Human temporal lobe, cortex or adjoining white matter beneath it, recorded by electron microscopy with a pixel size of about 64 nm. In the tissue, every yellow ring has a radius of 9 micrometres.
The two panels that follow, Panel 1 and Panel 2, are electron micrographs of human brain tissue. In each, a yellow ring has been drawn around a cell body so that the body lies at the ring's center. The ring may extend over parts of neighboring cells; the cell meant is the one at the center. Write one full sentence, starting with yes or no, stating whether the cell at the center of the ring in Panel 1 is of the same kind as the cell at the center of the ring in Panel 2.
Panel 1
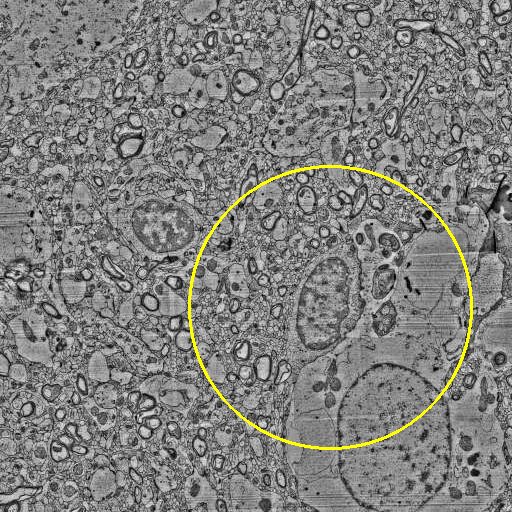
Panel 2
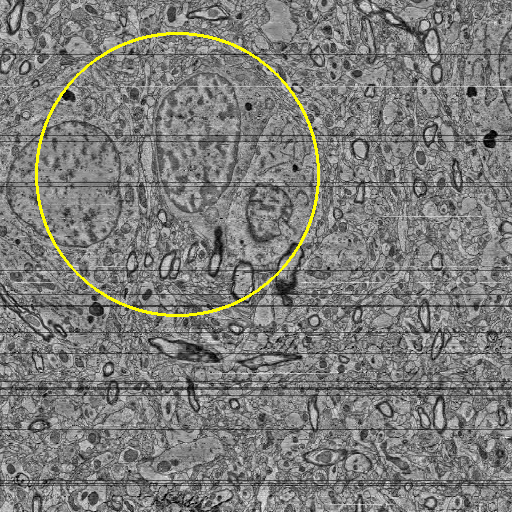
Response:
Yes, the cells in both panels are of the same kind.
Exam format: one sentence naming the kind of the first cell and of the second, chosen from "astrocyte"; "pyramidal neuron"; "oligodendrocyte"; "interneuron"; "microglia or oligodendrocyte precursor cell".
Each of the two rings is centred on an oligodendrocyte.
